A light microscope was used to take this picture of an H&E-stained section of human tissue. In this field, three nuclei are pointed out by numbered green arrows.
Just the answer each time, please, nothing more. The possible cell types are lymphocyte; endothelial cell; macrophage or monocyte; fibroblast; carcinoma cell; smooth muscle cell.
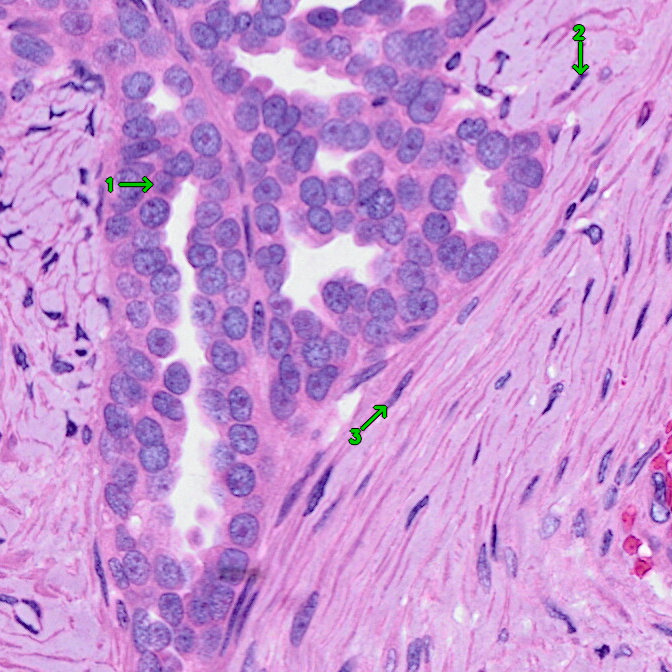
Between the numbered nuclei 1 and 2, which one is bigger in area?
1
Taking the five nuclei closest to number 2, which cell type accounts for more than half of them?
fibroblast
